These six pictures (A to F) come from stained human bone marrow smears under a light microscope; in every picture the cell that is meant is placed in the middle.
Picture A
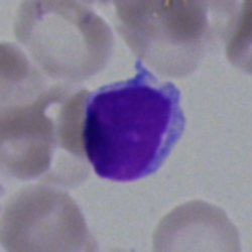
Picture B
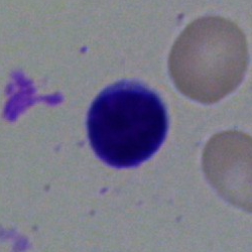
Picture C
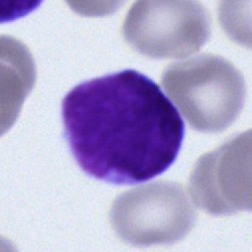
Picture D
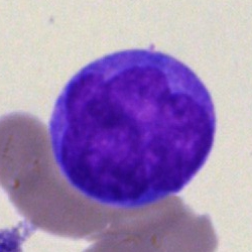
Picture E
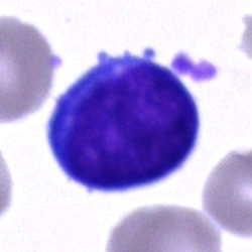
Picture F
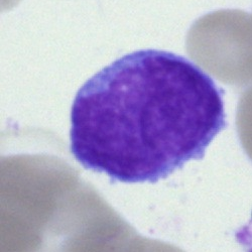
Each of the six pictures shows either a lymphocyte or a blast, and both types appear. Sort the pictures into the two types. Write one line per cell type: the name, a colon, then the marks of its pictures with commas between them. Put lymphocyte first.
lymphocyte: A, B, C
blast: D, E, F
